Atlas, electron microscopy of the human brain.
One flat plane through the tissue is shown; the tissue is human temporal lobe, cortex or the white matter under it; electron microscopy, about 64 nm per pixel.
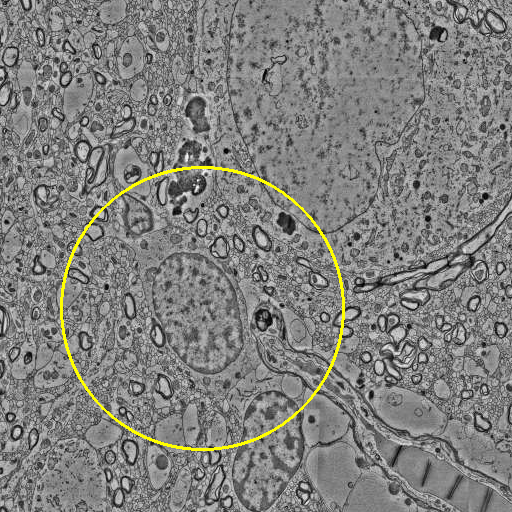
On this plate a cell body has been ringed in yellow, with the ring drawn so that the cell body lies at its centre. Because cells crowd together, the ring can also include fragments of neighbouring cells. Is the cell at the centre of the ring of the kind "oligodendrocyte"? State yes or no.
Yes, it is of that kind.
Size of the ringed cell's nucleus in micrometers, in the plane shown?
In this plane, about 8 micrometres in length and 6 in width.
